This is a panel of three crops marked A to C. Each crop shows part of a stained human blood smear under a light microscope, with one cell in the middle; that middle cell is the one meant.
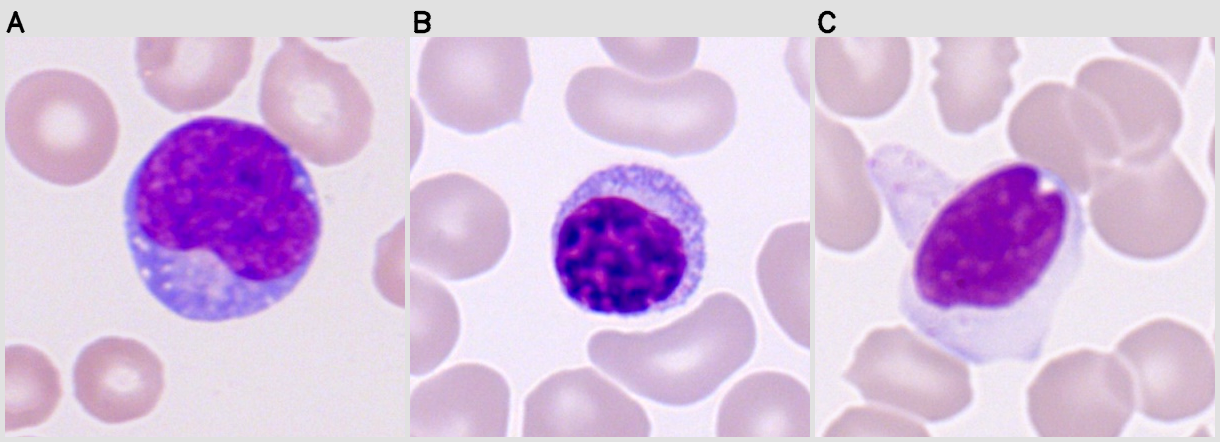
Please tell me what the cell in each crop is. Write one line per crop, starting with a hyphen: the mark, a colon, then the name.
- A: myeloblast
- B: lymphocyte
- C: lymphocyte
